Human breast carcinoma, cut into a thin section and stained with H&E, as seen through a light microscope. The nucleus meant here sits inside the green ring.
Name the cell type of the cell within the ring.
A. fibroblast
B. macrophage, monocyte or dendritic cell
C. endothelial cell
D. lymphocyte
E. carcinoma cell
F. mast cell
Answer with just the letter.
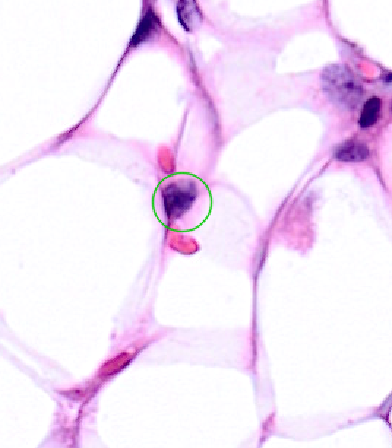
C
